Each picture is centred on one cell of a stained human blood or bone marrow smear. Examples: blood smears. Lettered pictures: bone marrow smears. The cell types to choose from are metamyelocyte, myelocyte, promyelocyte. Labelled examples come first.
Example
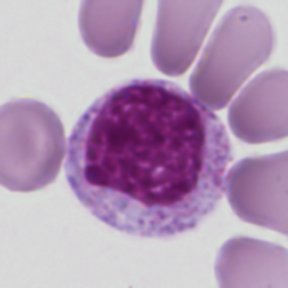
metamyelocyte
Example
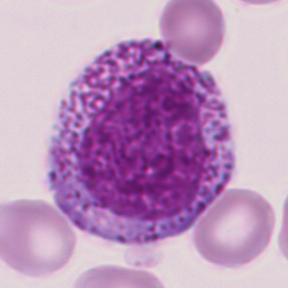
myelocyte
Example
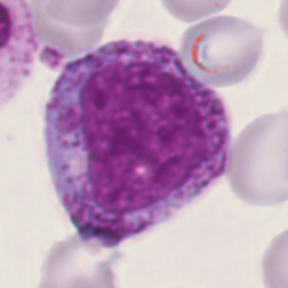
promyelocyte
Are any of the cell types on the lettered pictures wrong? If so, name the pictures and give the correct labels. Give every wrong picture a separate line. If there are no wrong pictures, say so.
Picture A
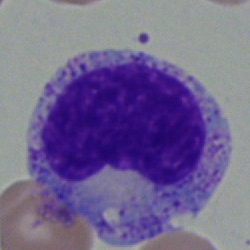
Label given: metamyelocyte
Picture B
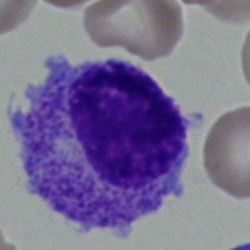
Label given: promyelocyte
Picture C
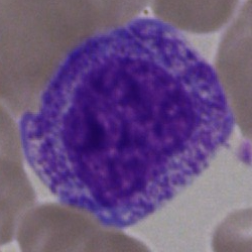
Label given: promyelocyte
B: not promyelocyte but myelocyte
